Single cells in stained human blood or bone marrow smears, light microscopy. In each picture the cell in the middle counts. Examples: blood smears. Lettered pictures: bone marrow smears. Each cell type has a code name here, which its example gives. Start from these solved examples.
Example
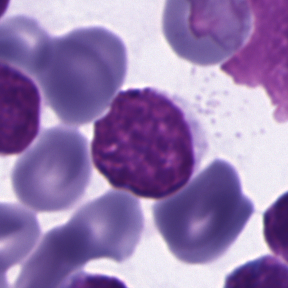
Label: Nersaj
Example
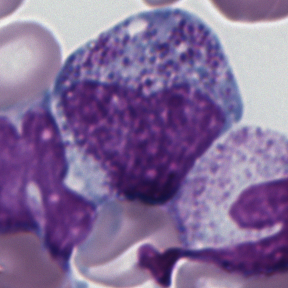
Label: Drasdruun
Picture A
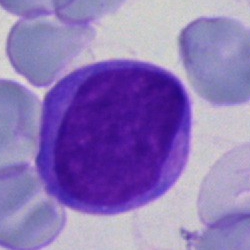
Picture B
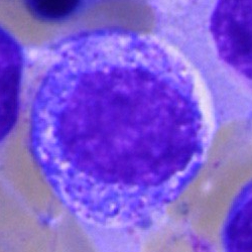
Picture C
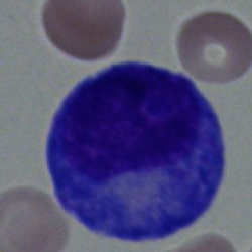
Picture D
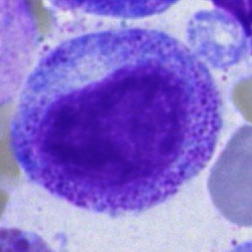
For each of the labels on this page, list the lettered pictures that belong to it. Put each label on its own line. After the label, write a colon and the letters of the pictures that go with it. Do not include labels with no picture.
Nersaj: A
Drasdruun: B, C, D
